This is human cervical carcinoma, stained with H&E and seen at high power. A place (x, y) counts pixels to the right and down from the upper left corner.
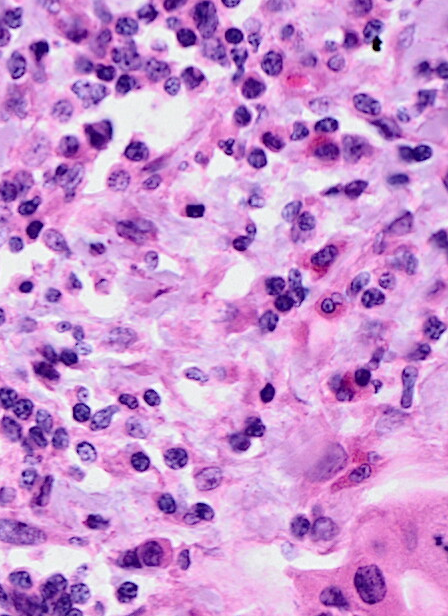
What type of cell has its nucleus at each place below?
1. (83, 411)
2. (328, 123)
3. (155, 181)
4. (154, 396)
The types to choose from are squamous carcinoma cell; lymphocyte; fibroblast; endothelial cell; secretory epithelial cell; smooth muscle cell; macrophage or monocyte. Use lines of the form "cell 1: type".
cell 1: lymphocyte
cell 2: lymphocyte
cell 3: macrophage or monocyte
cell 4: lymphocyte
